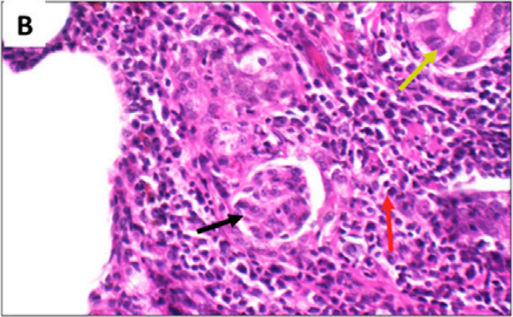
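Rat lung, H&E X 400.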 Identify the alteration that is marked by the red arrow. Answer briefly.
inflammatory infiltrate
